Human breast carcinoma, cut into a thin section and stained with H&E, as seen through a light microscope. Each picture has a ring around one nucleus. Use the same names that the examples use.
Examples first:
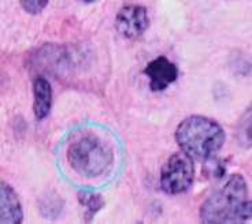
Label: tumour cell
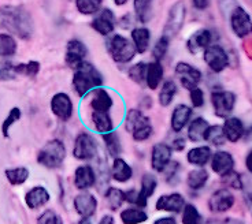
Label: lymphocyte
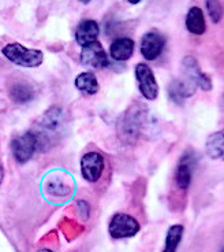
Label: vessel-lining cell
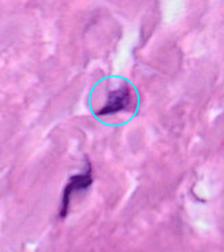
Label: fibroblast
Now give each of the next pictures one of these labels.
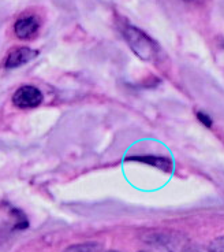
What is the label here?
fibroblast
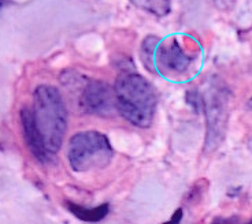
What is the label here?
vessel-lining cell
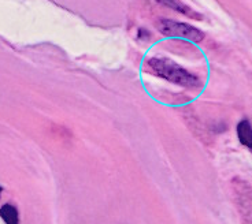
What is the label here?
fibroblast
